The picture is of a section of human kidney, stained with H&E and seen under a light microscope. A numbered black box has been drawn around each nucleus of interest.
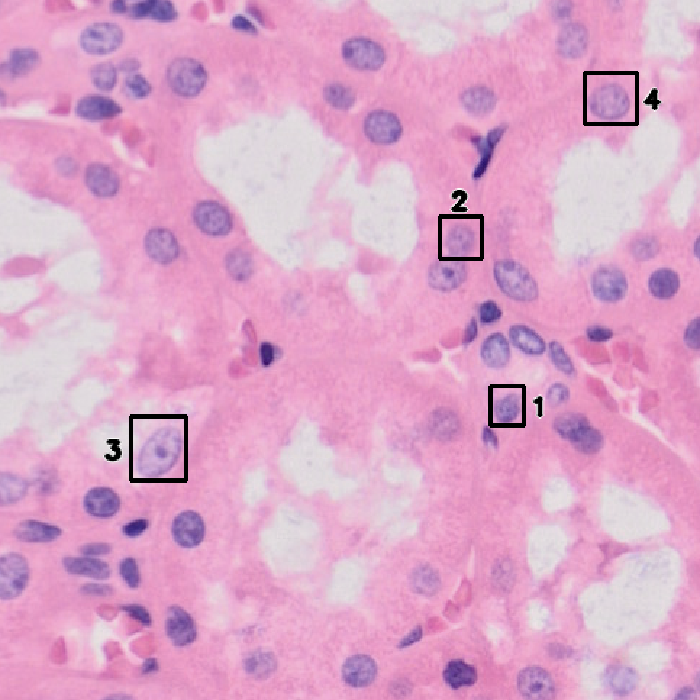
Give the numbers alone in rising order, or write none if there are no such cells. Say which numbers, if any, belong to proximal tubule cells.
2, 3, 4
